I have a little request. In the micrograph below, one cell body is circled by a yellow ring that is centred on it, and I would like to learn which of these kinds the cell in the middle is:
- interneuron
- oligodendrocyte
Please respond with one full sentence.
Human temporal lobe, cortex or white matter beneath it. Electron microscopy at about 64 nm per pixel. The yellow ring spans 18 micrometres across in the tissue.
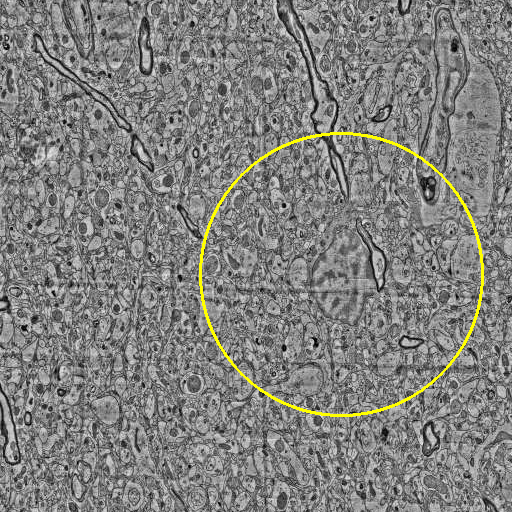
The cell sitting in the middle of the yellow ring in the micrograph is an oligodendrocyte.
